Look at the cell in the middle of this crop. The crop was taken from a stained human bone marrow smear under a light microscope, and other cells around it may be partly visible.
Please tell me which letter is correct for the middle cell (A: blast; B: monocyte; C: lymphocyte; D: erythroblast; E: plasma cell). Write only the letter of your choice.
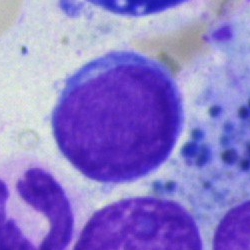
A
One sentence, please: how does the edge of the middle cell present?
Nothing juts out from the margin, which is smooth throughout.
